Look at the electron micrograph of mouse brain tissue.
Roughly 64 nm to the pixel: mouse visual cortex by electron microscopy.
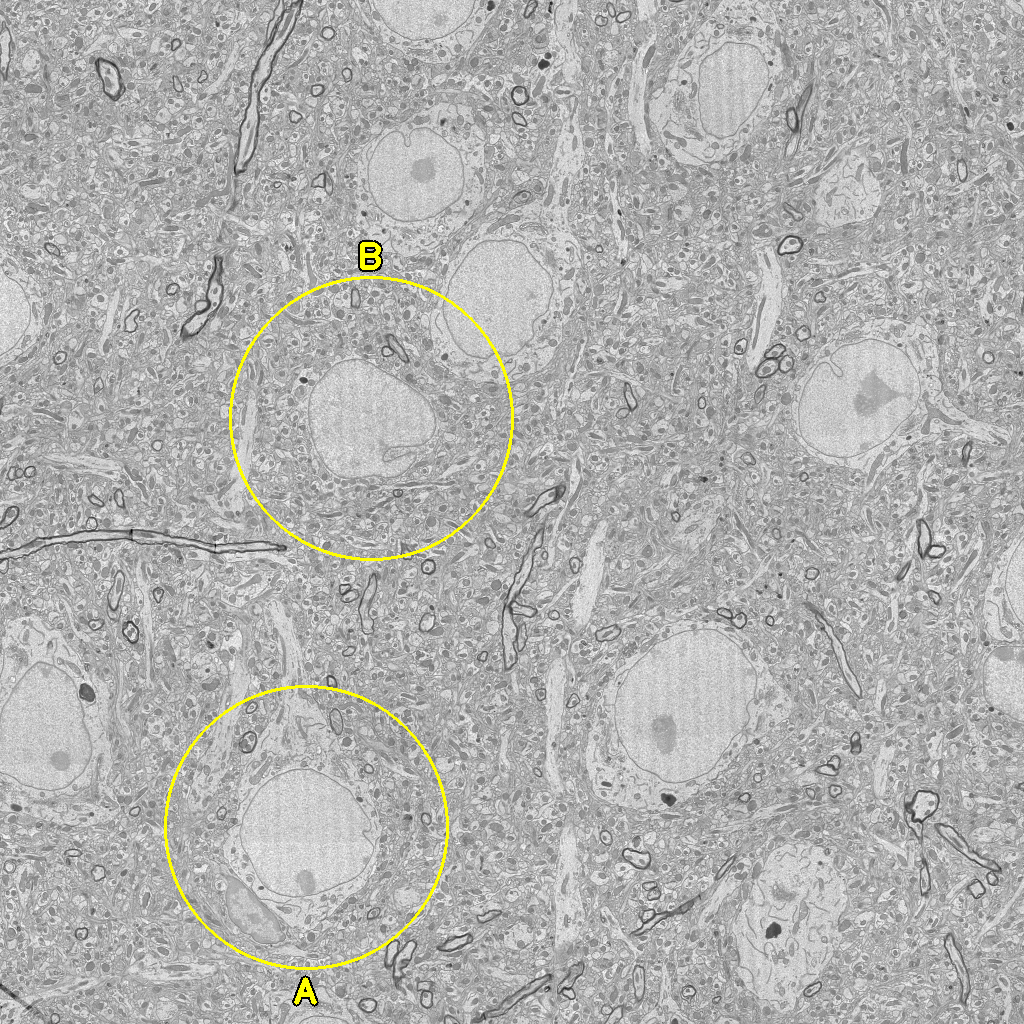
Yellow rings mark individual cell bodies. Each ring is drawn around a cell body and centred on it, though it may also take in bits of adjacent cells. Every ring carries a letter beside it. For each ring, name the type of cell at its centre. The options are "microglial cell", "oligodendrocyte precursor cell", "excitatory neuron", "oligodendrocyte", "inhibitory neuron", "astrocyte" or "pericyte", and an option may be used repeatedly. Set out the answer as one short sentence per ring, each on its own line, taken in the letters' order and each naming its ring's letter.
Ring A is drawn around an excitatory neuron.
Ring B is drawn around an astrocyte.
